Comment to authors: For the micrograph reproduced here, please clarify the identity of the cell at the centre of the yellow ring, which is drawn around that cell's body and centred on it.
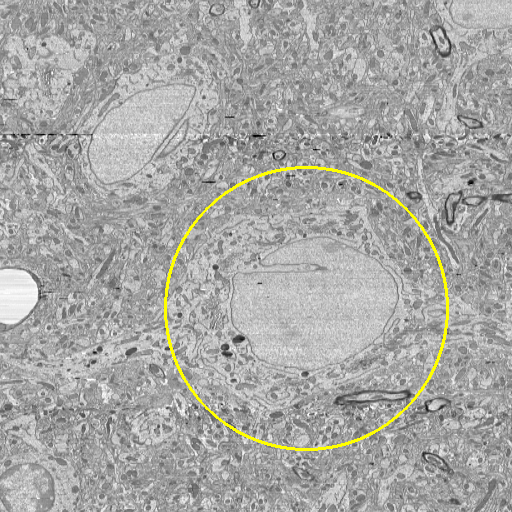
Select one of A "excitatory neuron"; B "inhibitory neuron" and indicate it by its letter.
B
